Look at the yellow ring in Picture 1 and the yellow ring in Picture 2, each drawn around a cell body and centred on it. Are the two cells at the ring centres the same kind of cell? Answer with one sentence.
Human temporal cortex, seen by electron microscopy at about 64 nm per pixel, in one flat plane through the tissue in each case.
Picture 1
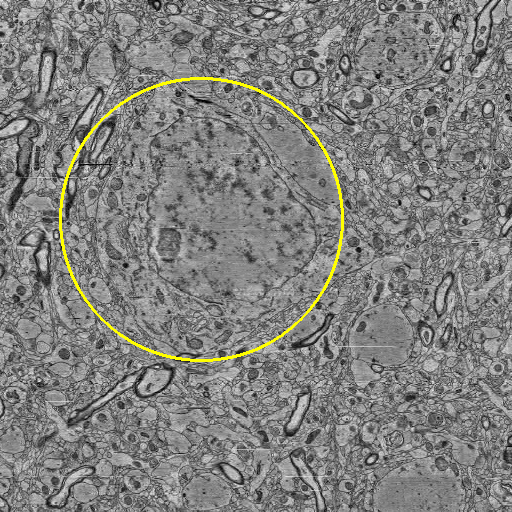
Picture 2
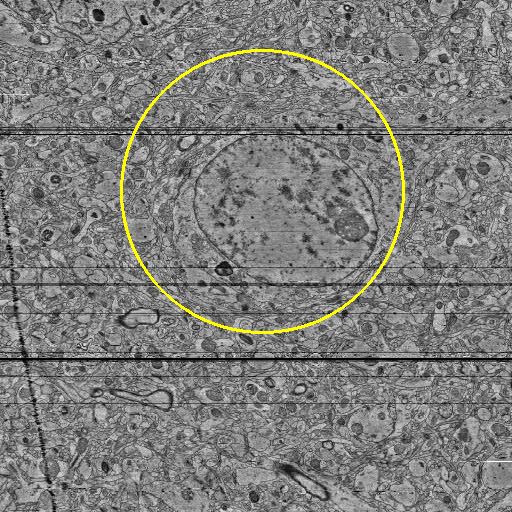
Yes, both are the same kind of cell.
